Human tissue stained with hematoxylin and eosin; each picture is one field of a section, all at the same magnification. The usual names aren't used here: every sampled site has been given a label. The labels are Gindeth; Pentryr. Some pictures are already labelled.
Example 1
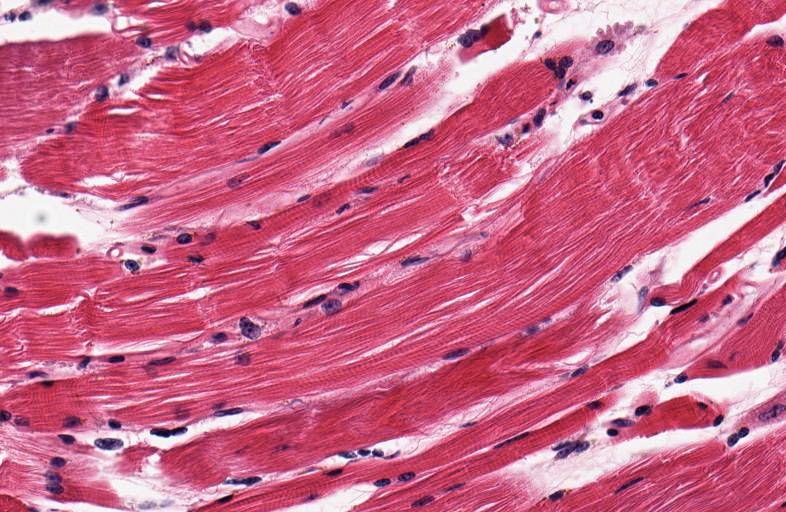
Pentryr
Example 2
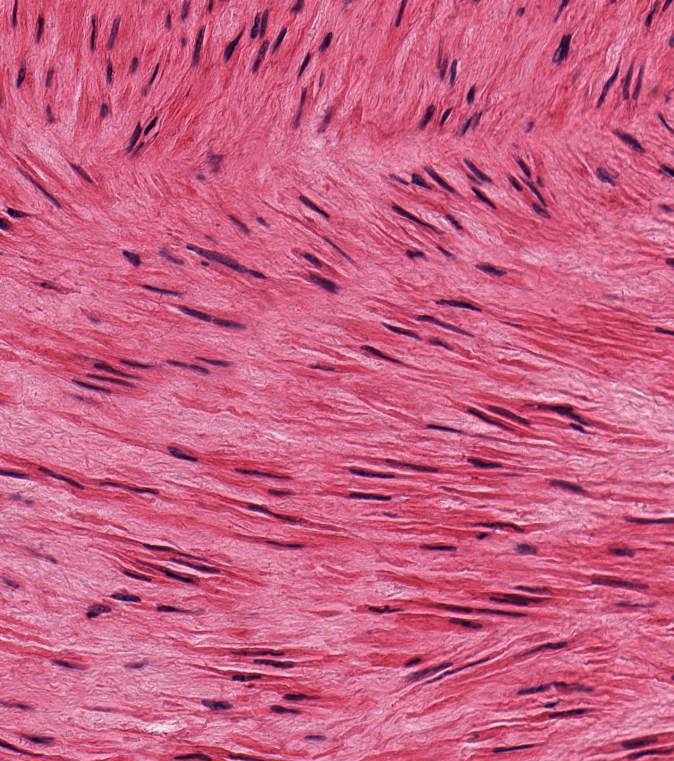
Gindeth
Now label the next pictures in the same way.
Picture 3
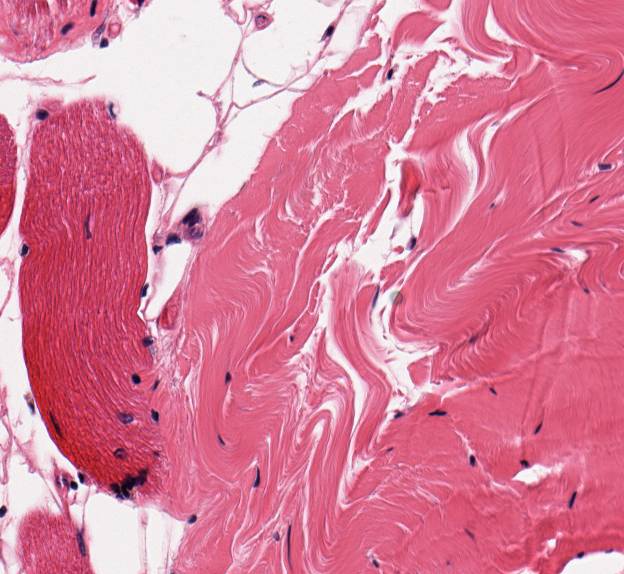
Pentryr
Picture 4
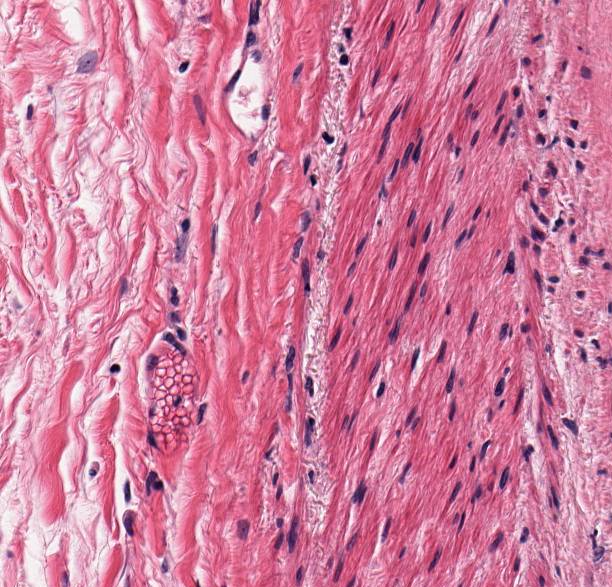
Gindeth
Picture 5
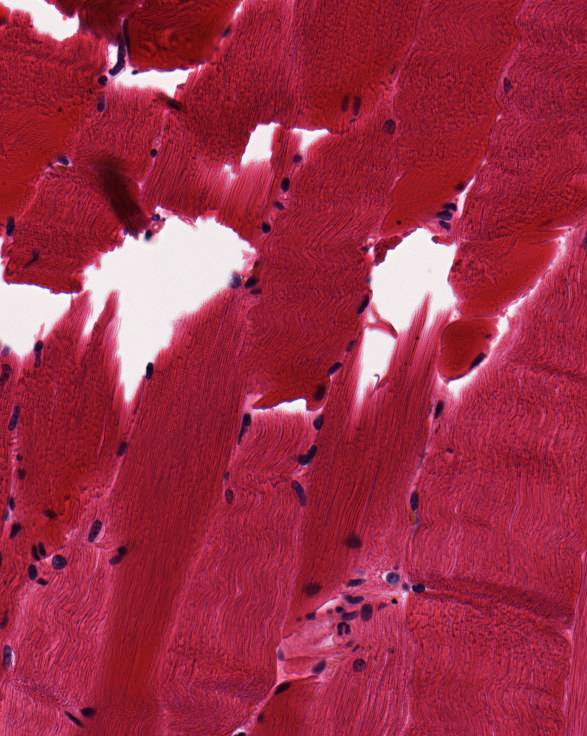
Pentryr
